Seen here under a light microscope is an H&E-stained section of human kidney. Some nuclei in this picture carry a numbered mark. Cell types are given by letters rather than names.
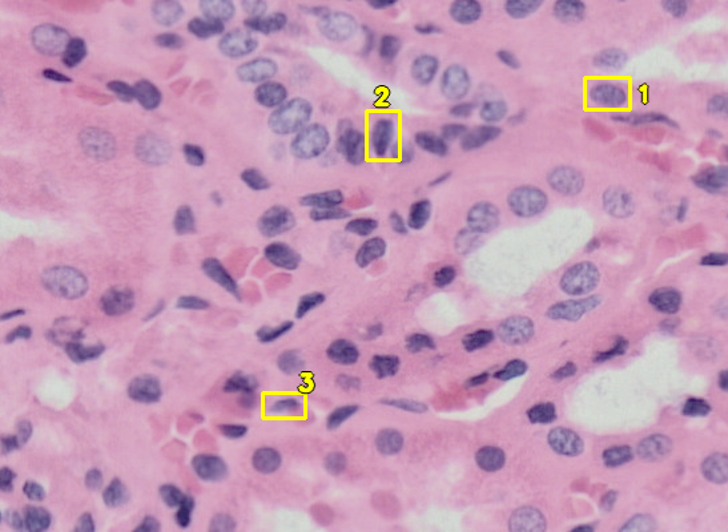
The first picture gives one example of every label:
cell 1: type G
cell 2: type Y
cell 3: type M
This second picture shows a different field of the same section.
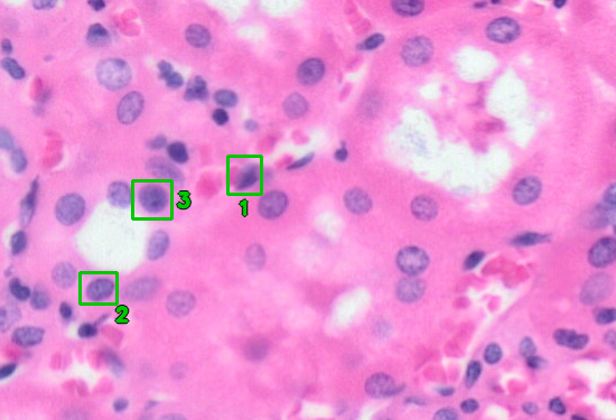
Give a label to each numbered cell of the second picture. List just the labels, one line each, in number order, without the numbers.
type M
type Y
type Y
